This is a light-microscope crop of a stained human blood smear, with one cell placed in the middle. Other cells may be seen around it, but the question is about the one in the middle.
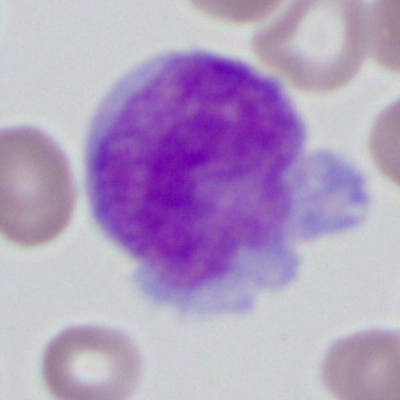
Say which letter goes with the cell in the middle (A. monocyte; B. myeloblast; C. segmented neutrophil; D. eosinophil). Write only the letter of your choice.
B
